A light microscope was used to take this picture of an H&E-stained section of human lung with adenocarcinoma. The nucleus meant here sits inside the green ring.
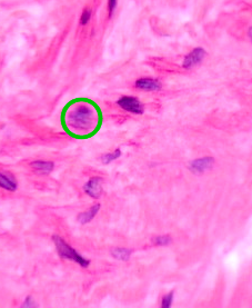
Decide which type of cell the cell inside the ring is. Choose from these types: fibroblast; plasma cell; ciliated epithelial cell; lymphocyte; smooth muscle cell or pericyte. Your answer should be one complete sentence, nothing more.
What the cell inside the ring represents is a smooth muscle cell or pericyte.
